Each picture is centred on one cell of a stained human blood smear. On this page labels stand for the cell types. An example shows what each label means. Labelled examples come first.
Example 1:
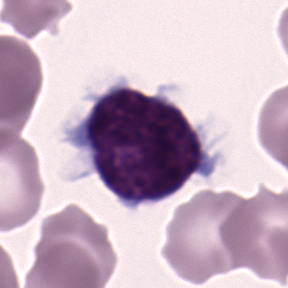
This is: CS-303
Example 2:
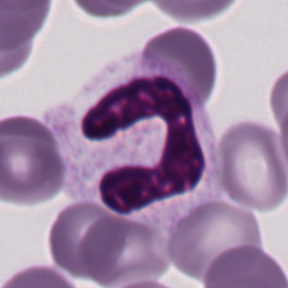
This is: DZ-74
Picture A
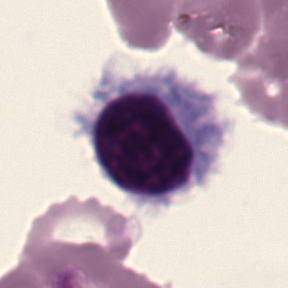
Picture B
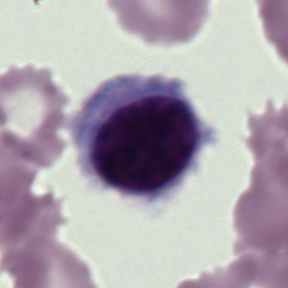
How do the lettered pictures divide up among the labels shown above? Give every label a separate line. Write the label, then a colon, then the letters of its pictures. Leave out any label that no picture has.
CS-303: A, B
